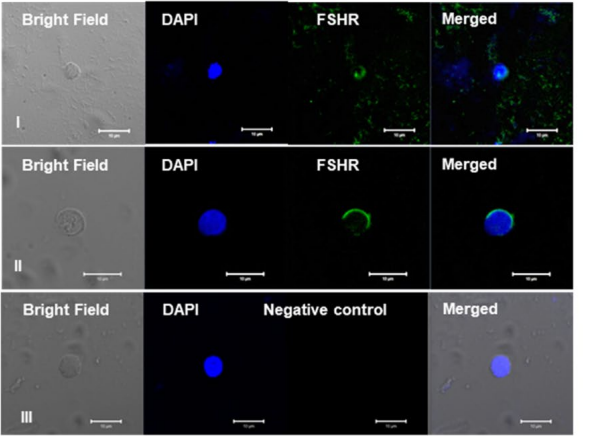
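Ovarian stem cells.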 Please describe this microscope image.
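In the top row a small cell has a compact blue nucleus that fills most of the cell, with faint, patchy green dots near it. In the middle row a somewhat larger round cell has a blue nucleus and a bright green crescent hugging part of the cell edge, at the surface. In the bottom row the cell shows only its blue nucleus and no green at all.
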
